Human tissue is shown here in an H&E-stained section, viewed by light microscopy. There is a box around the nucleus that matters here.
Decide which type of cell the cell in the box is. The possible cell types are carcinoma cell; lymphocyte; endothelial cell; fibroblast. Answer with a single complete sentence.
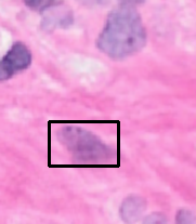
It is as a fibroblast that the cell in the box is recorded.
